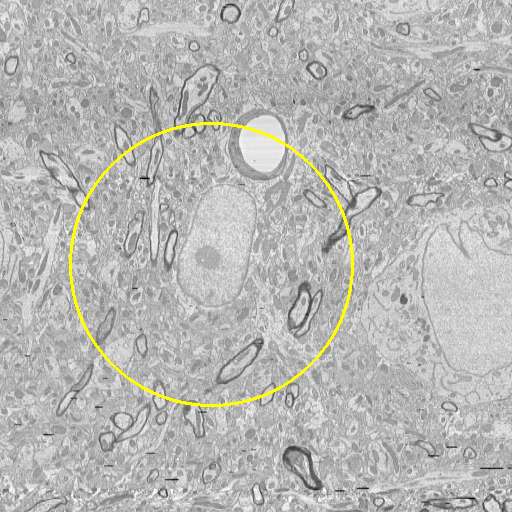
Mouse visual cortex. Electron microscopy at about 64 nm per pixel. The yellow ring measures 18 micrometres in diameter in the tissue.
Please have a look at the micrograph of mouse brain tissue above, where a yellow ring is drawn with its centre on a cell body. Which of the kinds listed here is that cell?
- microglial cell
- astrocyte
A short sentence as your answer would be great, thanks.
At the centre of the ring sits an astrocyte.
